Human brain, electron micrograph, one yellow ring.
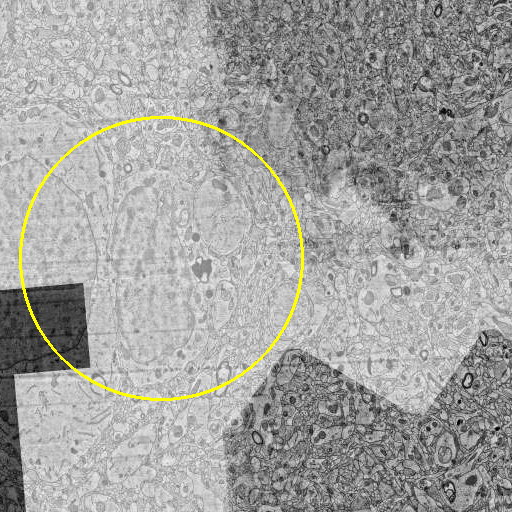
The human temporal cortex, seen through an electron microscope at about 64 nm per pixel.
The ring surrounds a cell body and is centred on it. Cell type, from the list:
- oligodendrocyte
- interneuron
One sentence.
The yellow ring circles an interneuron.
